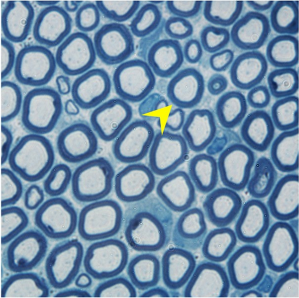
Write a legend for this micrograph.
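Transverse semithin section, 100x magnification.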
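Most fibers are round to slightly polygonal and they lie packed closely together, with only narrow strands of lighter blue tissue between them. Fiber sizes range from small to large, with medium-sized fibers most common. A few small, darker or bluish profiles between the fibers likely belong to supporting cells.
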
